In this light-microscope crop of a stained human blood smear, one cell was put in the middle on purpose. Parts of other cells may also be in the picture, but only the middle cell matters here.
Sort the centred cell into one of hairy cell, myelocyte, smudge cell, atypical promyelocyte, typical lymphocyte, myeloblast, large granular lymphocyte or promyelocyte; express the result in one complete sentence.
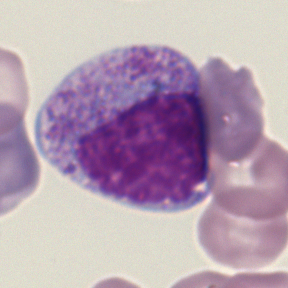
The cell positioned in the middle of the field is a myelocyte.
